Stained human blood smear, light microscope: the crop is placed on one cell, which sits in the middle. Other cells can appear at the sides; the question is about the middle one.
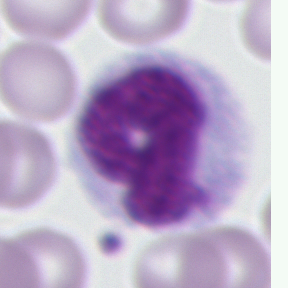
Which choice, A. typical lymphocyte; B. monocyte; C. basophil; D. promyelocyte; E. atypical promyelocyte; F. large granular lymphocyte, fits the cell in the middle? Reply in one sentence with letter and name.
Option B correctly states that the central cell is a monocyte.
